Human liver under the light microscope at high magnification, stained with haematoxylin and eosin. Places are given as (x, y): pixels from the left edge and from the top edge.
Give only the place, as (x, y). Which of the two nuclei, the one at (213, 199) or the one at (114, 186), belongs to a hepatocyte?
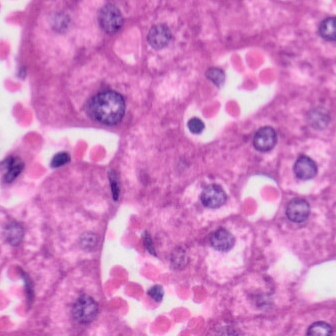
(213, 199)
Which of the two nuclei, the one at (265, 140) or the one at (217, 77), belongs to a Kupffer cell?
(217, 77)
